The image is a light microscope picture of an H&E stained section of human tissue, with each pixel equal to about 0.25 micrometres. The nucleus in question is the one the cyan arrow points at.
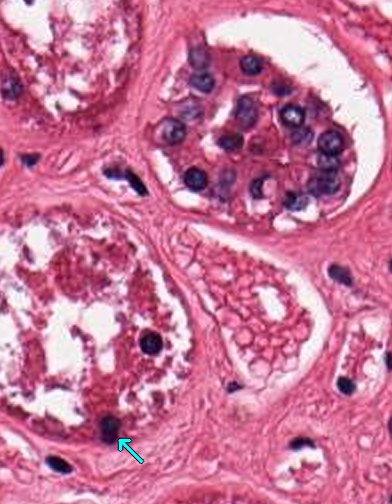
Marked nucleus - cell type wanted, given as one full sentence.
Within a proximal tubule cell lies the marked nucleus.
